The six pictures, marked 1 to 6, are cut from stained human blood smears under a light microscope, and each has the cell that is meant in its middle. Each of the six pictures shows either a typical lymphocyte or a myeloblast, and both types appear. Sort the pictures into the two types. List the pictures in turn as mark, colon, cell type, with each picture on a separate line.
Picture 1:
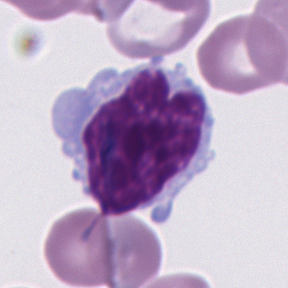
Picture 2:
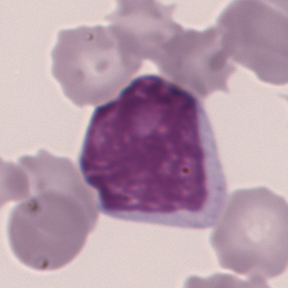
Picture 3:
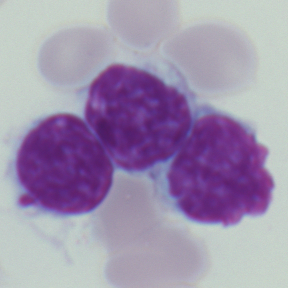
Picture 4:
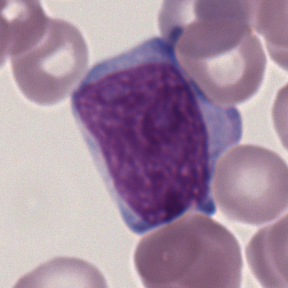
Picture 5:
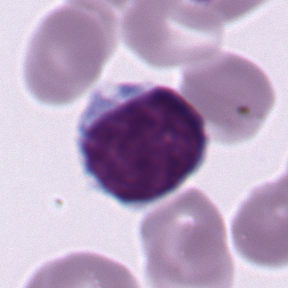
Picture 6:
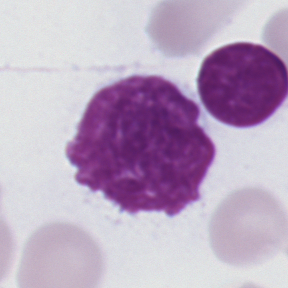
1: typical lymphocyte
2: myeloblast
3: myeloblast
4: myeloblast
5: typical lymphocyte
6: myeloblast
